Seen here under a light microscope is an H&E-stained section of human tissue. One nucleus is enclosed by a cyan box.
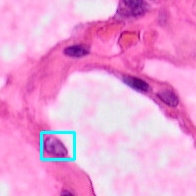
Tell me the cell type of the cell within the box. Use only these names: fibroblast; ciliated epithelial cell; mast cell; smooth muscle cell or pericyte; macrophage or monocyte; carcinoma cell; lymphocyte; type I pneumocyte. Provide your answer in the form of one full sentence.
In this preparation, the cell within the box is a type I pneumocyte.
